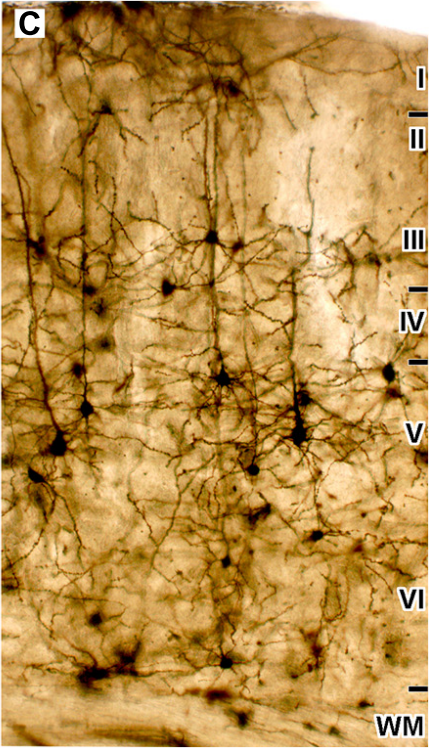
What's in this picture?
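This section of the neocortex spans the full cortical thickness, from the surface down to the white matter, with scattered pyramidal neurons impregnated dark brown. The upper layers form a relatively thin band with fewer and smaller neurons. The largest neurons lie in the deeper part of the cortex. They have triangular cell bodies, long apical dendrites rising toward the surface, and bushy basal dendrites.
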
